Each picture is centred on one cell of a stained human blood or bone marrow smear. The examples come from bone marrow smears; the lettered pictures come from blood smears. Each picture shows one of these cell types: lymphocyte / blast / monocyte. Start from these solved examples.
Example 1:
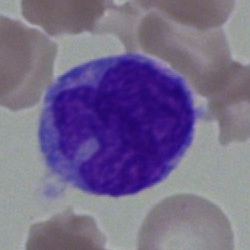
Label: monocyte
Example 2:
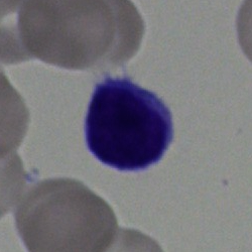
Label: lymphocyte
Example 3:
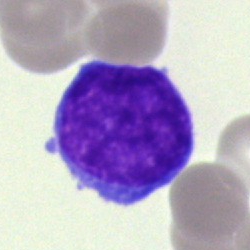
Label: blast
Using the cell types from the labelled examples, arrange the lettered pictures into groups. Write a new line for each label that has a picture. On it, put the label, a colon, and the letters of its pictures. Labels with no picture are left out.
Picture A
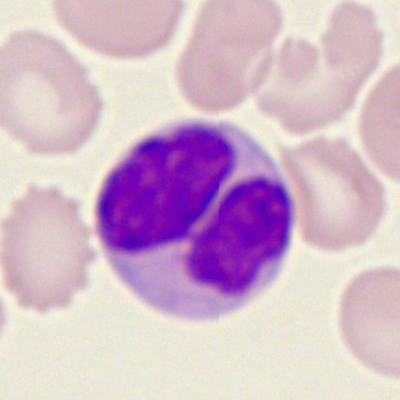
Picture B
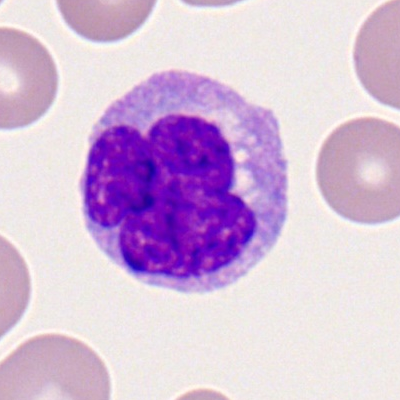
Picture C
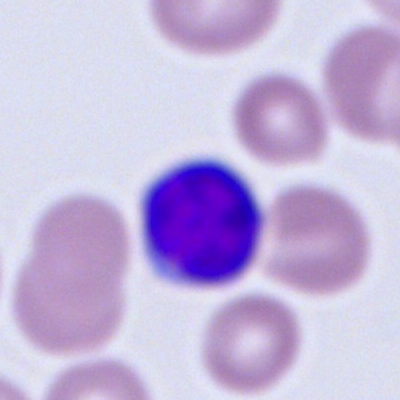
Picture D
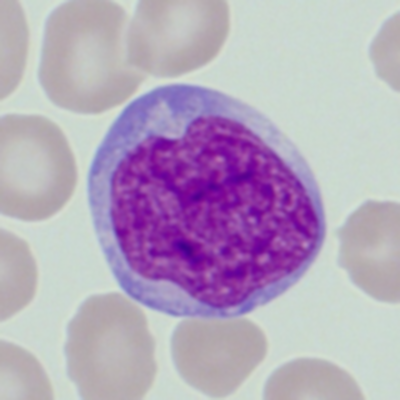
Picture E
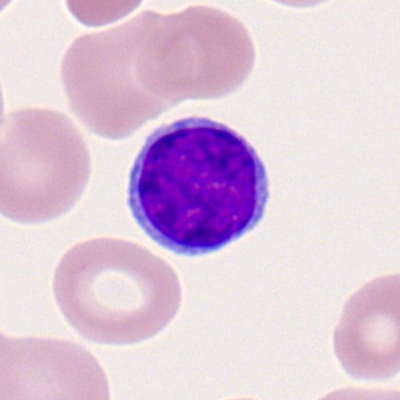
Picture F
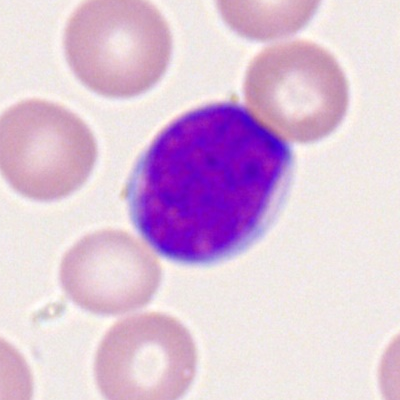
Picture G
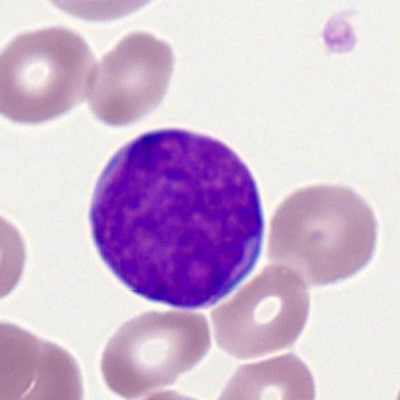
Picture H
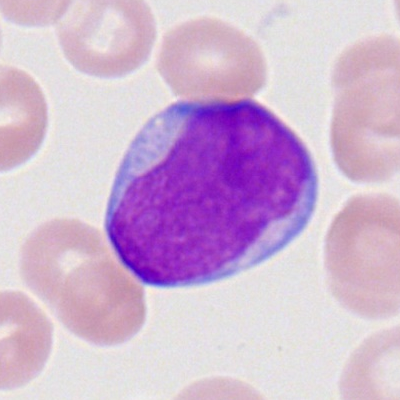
lymphocyte: C, E
blast: D, F, G, H
monocyte: A, B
